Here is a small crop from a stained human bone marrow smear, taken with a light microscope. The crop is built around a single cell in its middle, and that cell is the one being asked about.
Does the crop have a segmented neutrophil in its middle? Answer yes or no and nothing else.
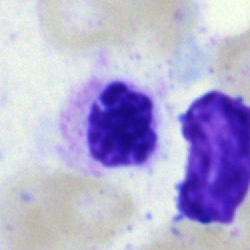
yes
